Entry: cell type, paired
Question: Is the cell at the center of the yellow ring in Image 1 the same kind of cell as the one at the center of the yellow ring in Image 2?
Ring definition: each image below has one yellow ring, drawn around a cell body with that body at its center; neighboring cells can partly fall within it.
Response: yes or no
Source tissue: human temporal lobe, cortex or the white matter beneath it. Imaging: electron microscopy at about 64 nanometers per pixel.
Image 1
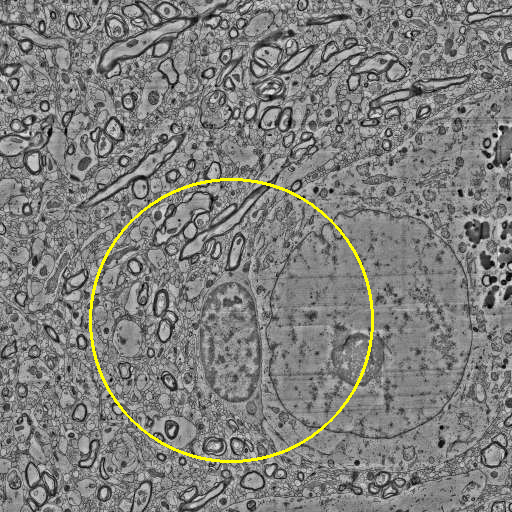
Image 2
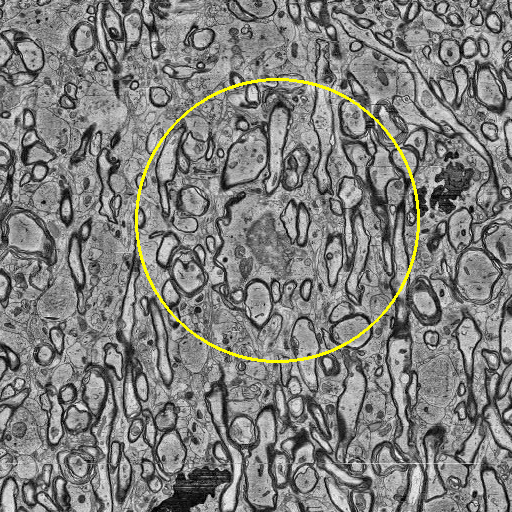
yes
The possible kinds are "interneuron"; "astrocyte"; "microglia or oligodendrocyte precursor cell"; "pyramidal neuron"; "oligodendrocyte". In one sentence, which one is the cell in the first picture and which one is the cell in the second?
Both cells are the same kind, each one being an oligodendrocyte.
